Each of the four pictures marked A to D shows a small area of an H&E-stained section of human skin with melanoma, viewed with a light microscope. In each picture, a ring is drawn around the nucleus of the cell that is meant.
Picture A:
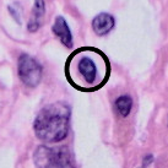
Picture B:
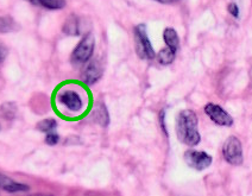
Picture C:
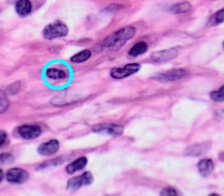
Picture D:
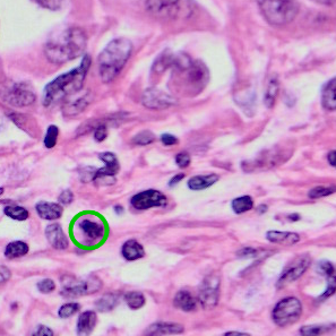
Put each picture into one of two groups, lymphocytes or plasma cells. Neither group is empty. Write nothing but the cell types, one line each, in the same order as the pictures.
lymphocyte
lymphocyte
plasma cell
plasma cell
